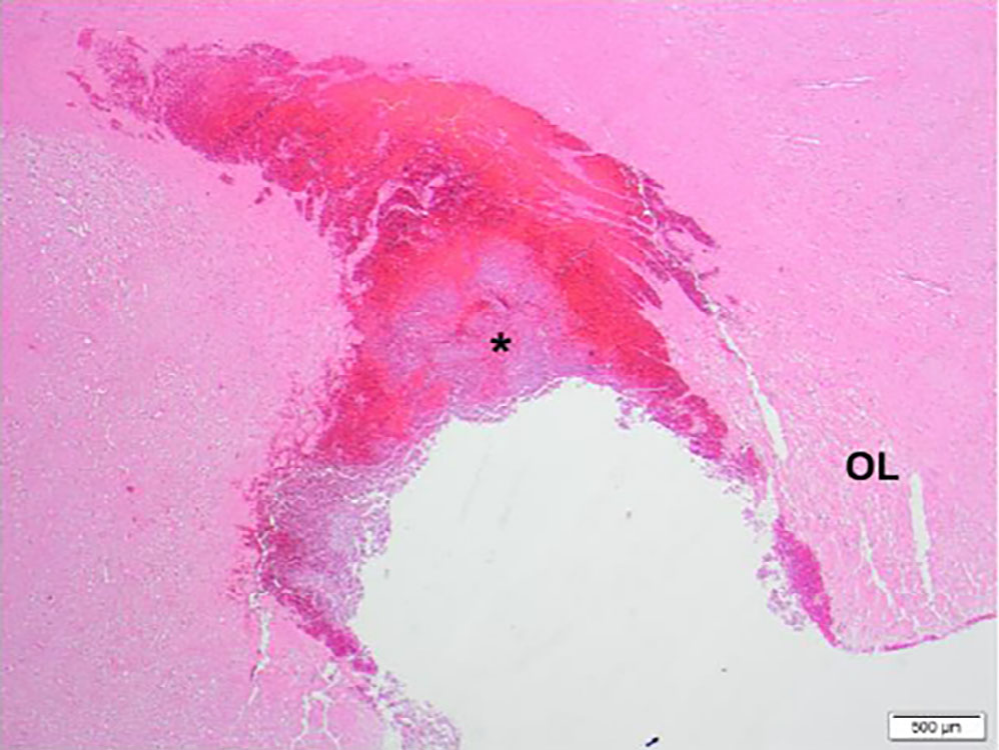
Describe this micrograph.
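This low-power view shows brain tissue, the neuroparenchyma, that is evenly pale pink and finely textured at the sides and top. A large, irregular zone in the middle is filled with bright red blood from a haemorrhage. The blood streams outward in ragged tongues into the surrounding tissue. At the centre of this zone lies a paler, purplish-pink patch of densely packed cells. Below it, the tissue is torn away, leaving an empty white space.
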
